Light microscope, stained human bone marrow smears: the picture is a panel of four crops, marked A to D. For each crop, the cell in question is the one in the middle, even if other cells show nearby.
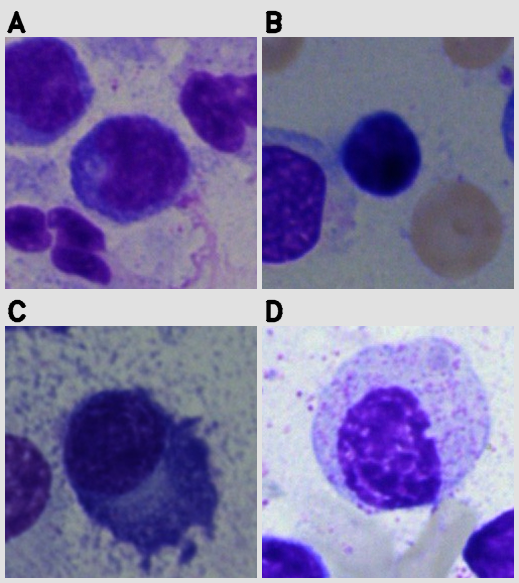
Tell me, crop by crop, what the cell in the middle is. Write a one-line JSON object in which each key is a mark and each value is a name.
{"A": "lymphocyte", "B": "lymphocyte", "C": "plasma cell", "D": "myelocyte"}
